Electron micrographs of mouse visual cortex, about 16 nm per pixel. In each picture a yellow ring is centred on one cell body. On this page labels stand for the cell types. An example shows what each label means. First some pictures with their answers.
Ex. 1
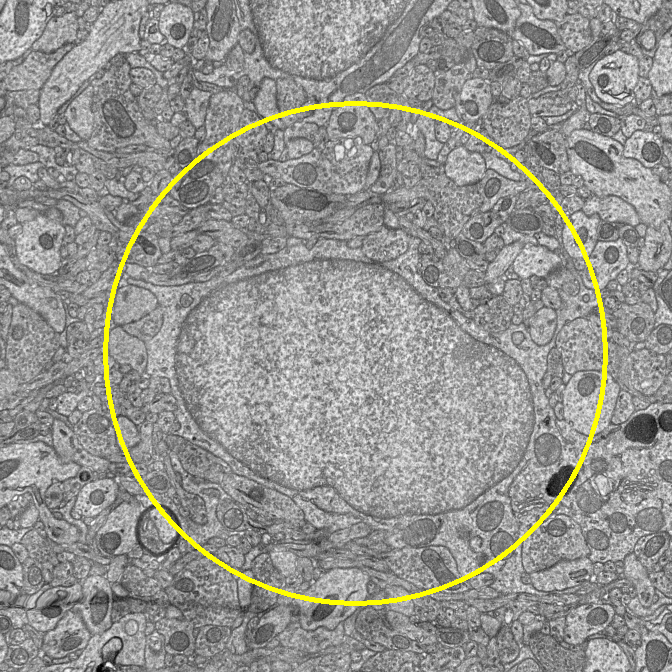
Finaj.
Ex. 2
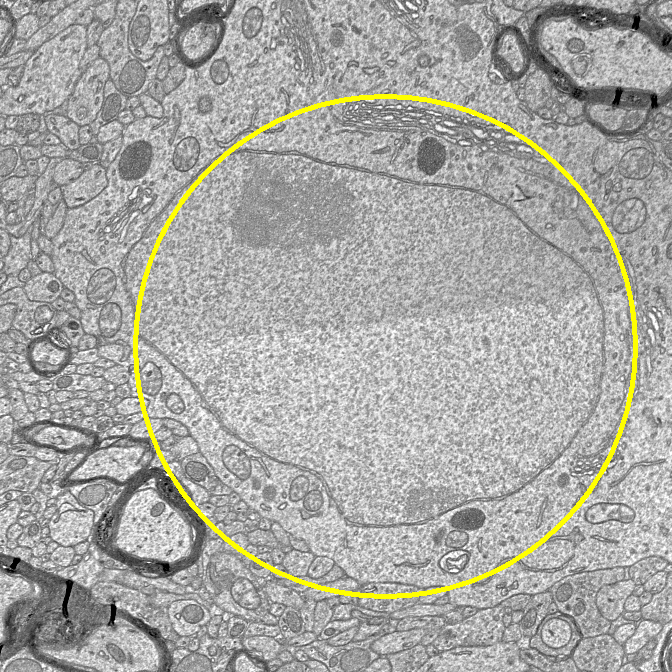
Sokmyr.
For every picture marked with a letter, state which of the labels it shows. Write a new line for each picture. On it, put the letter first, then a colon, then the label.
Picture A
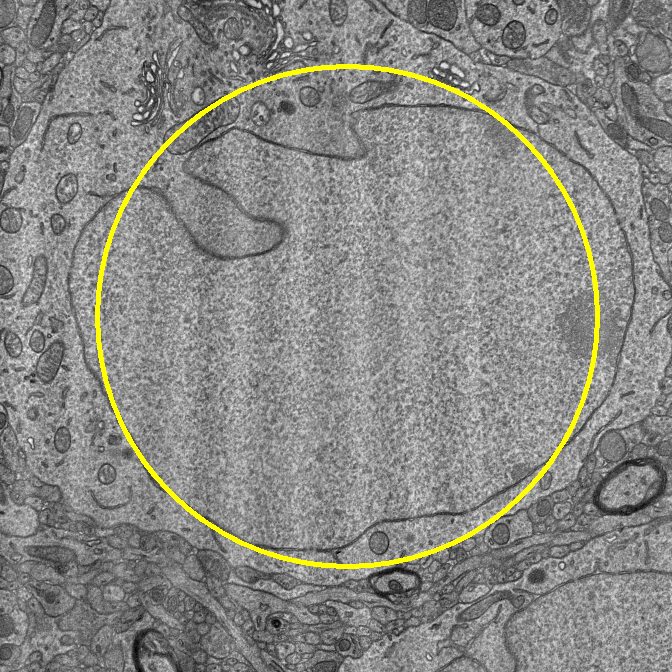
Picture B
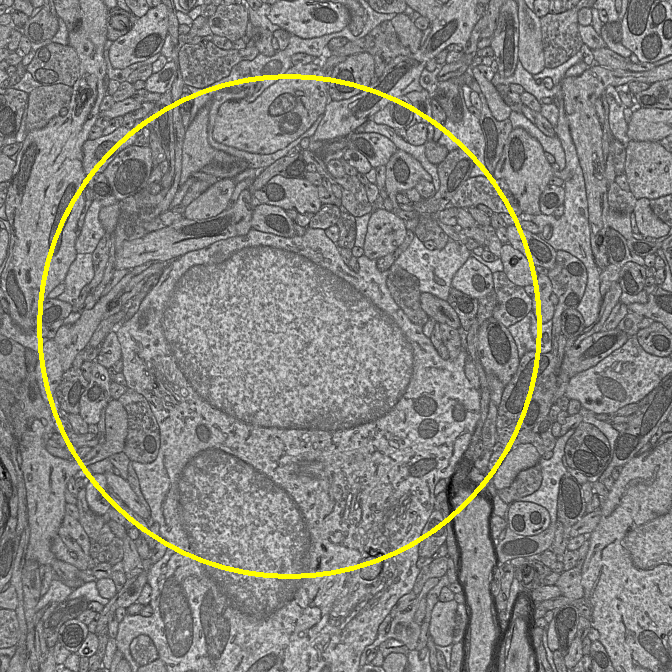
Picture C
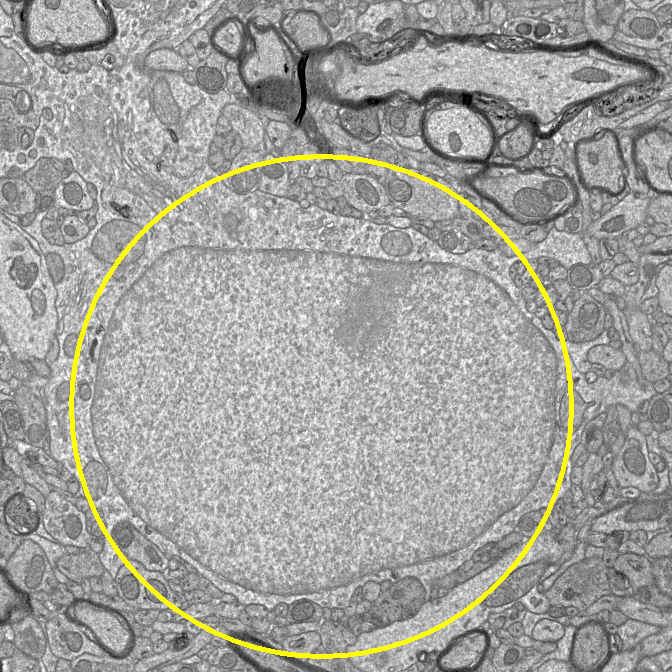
A: Sokmyr.
B: Finaj.
C: Finaj.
